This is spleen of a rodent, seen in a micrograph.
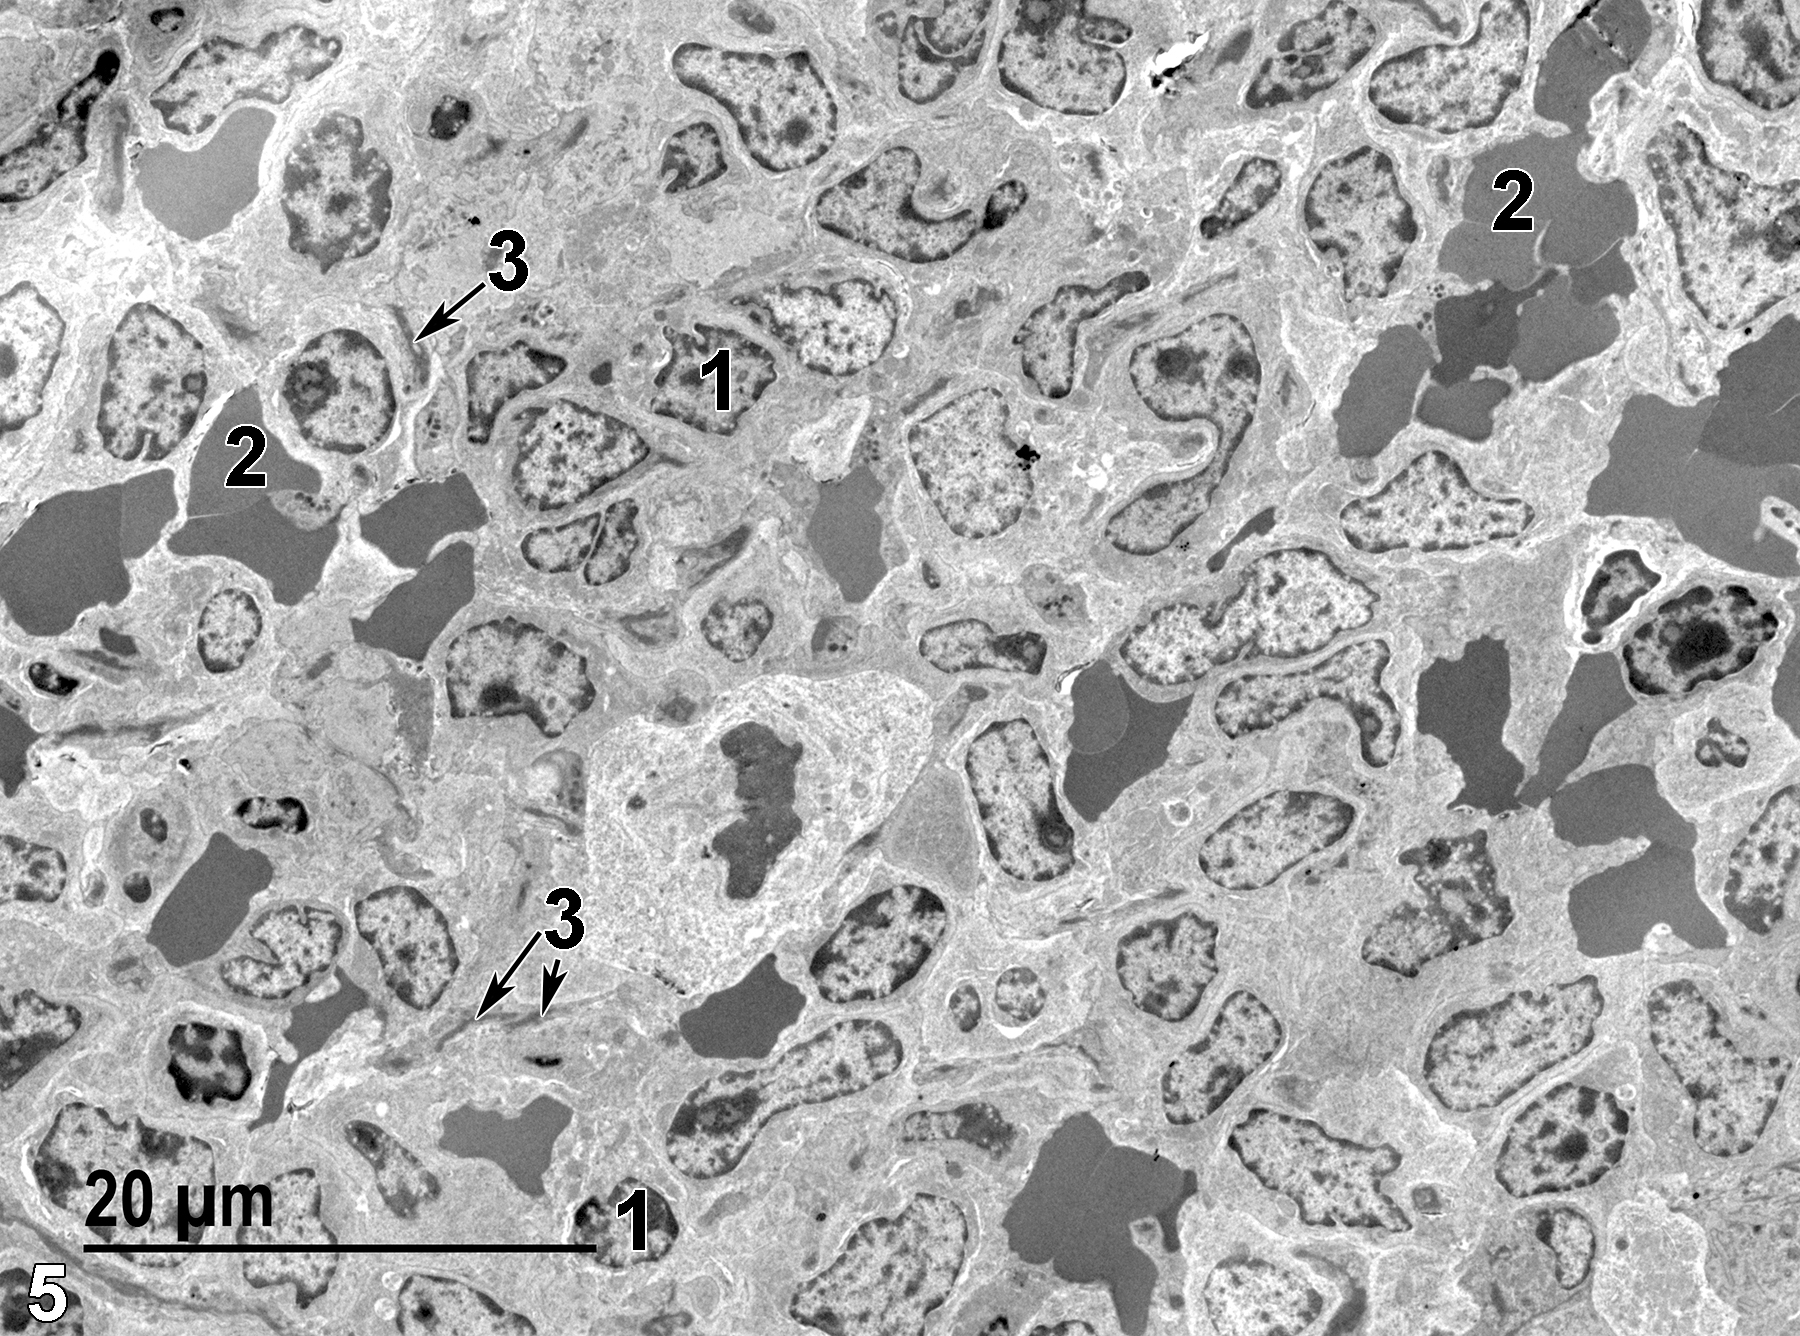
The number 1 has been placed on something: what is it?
1 marks the lymphocytes.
